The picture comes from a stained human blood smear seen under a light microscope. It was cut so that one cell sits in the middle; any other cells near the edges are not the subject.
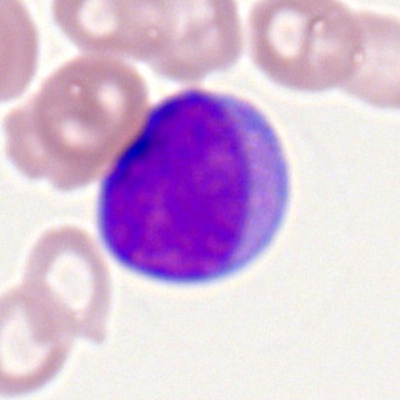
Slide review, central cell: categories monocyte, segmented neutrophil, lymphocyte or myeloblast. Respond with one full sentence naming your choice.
Classification of the middle cell gives a myeloblast.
